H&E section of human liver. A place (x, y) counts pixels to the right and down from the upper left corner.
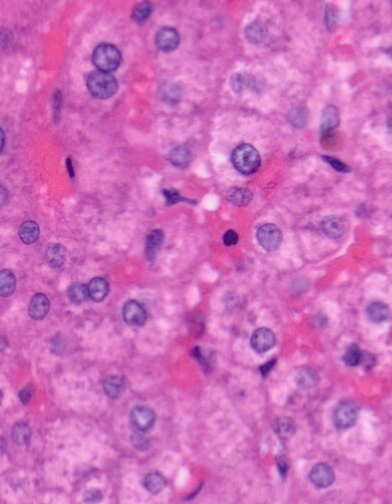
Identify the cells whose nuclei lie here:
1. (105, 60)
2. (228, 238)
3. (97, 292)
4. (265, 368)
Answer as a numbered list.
1. hepatocyte
2. lymphocyte
3. hepatocyte
4. fibroblast or stellate cell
